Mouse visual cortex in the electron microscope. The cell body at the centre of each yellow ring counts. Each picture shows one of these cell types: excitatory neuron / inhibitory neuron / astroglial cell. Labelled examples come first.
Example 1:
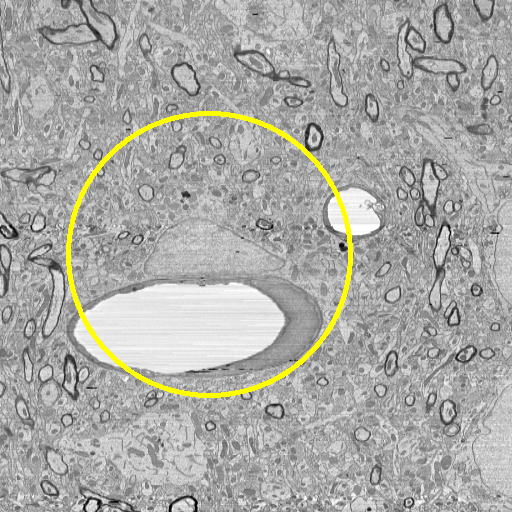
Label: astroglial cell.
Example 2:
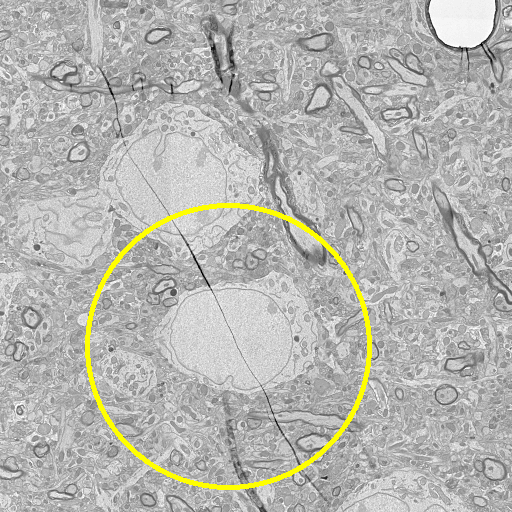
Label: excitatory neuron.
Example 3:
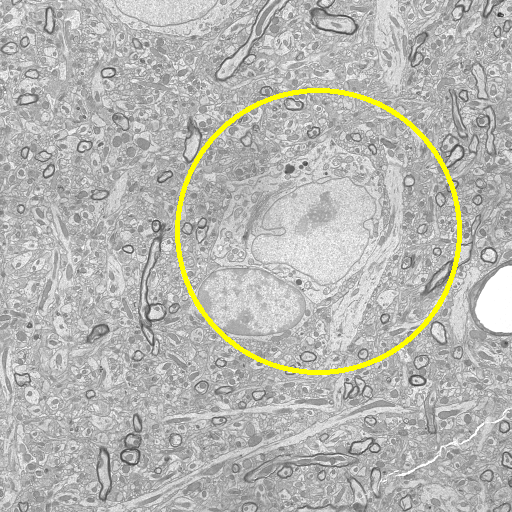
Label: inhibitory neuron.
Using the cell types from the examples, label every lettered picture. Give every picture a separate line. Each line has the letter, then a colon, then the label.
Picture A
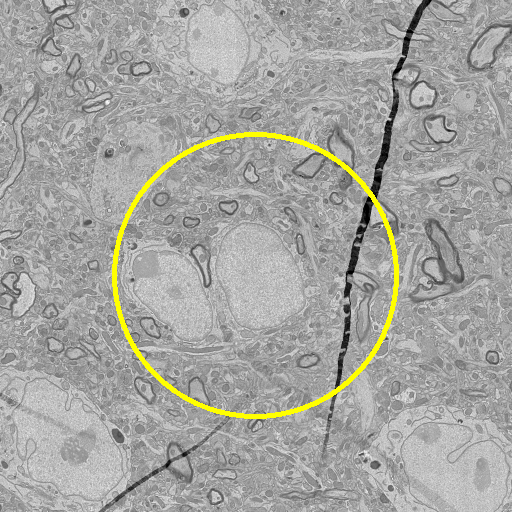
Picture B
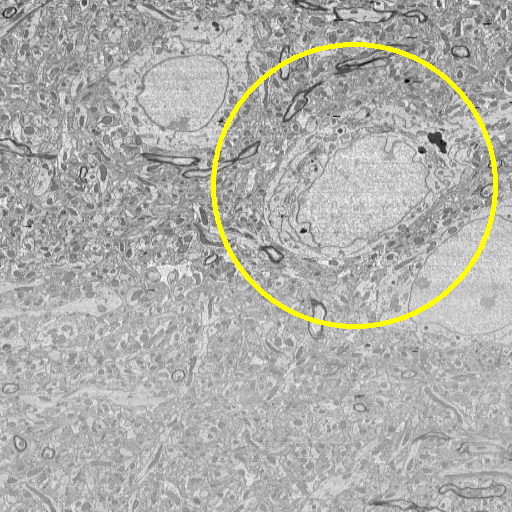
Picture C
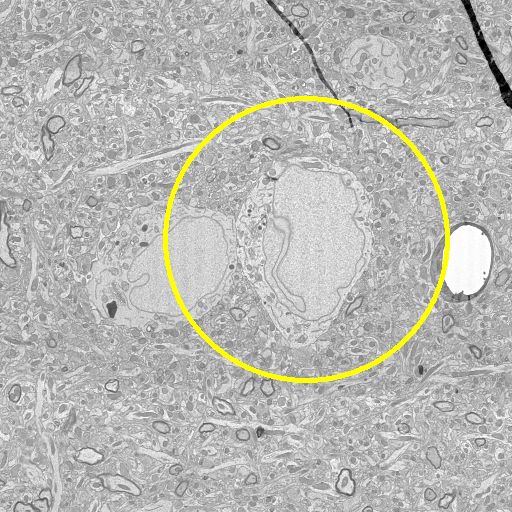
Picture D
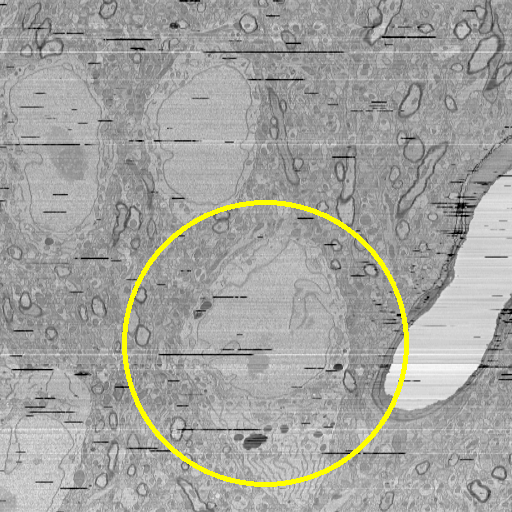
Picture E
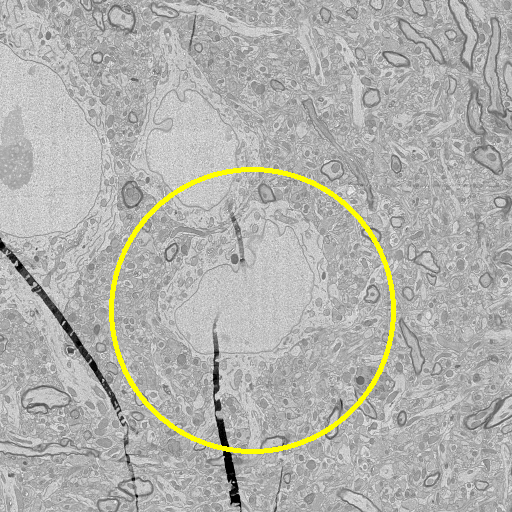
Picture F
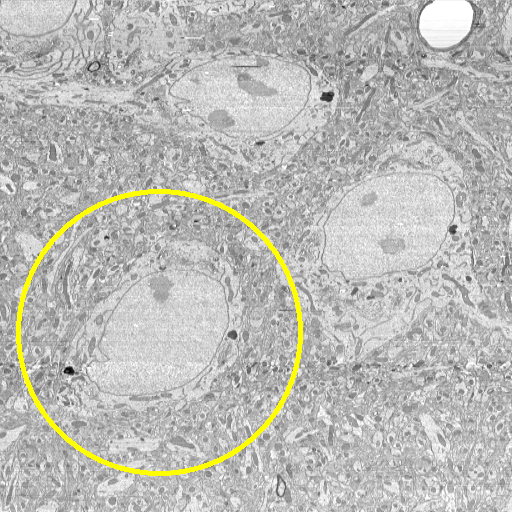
A: astroglial cell.
B: inhibitory neuron.
C: inhibitory neuron.
D: inhibitory neuron.
E: excitatory neuron.
F: excitatory neuron.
